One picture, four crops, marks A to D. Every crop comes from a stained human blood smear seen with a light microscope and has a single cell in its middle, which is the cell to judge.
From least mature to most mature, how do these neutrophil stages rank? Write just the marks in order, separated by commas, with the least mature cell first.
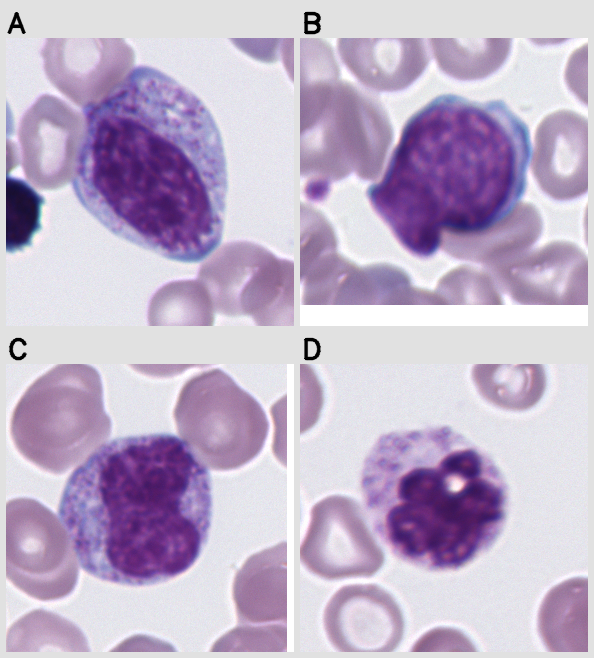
B, A, C, D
